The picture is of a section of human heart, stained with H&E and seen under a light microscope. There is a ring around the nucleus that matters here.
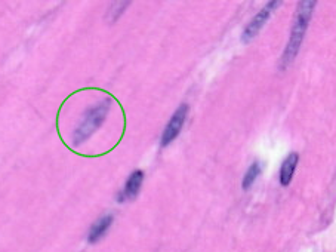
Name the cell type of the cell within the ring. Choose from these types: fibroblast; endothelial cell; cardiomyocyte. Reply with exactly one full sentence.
At the level of cell identity, the cell within the ring is a cardiomyocyte.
